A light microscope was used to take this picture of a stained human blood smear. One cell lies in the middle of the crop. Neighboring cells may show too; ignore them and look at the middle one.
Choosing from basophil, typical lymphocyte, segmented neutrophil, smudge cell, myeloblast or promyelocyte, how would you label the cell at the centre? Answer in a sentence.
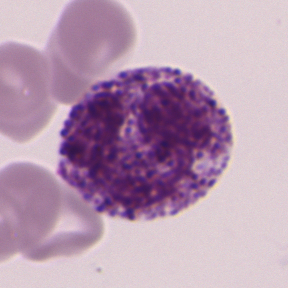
The central cell in this smear crop is a basophil.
